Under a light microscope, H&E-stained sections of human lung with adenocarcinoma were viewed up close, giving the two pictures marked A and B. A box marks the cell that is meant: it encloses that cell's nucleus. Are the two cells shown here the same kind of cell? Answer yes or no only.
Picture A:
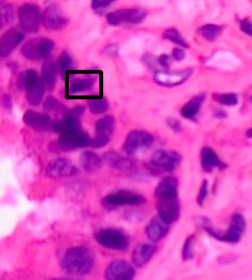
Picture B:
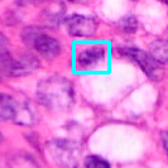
yes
